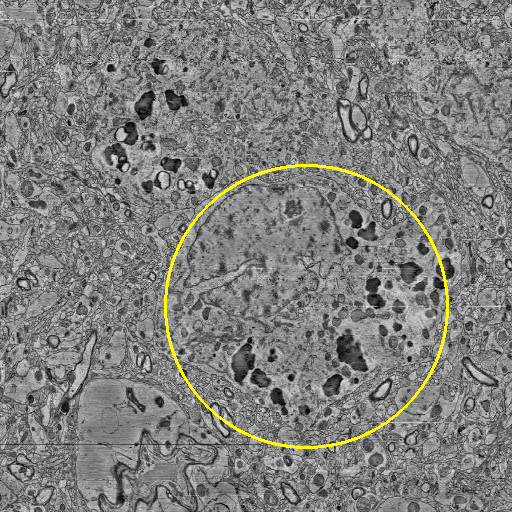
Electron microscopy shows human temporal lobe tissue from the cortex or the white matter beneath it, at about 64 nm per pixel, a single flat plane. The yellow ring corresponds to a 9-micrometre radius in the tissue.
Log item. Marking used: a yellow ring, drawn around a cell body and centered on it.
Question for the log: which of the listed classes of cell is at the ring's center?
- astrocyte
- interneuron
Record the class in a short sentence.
At the center of the ring lies an interneuron.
